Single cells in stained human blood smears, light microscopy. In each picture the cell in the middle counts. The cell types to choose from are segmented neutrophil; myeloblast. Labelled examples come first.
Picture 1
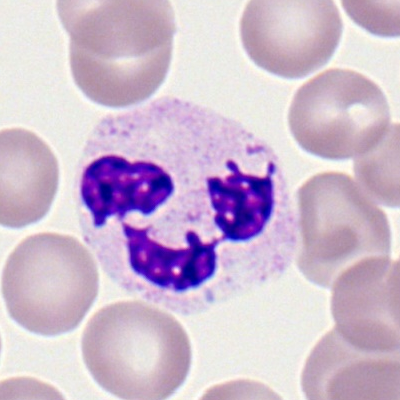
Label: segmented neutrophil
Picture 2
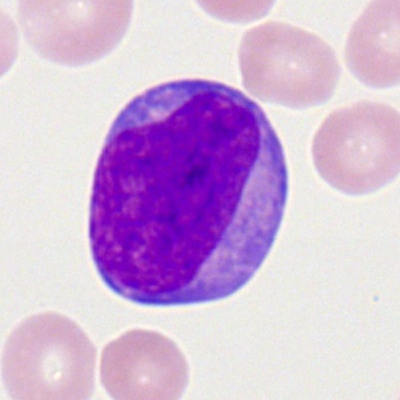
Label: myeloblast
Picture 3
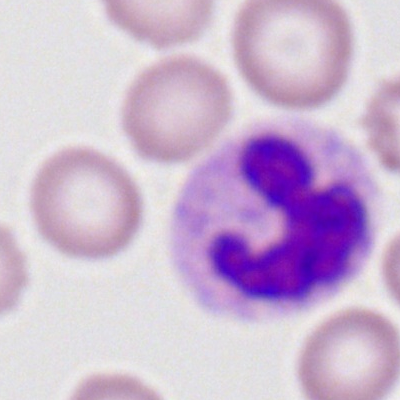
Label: segmented neutrophil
